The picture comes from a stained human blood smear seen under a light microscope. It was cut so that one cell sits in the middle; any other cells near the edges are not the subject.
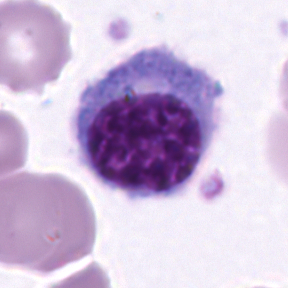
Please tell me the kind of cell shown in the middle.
plasma cell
